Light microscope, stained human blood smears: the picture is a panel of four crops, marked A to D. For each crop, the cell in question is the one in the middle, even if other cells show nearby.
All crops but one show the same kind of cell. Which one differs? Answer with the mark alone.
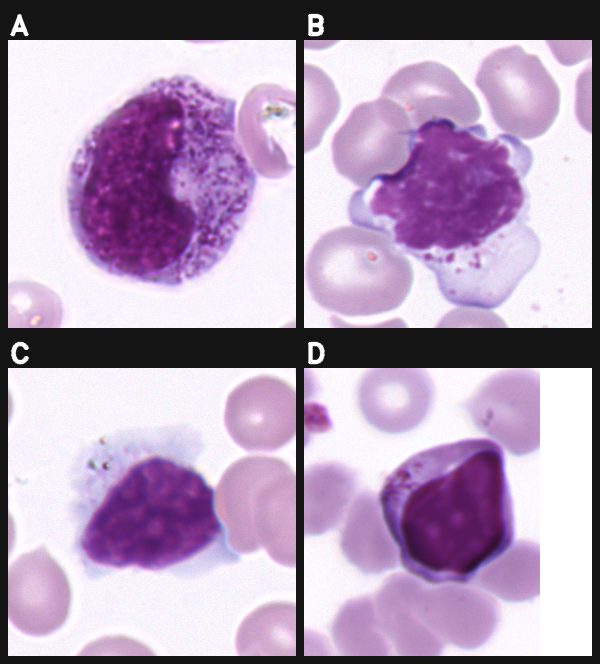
A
